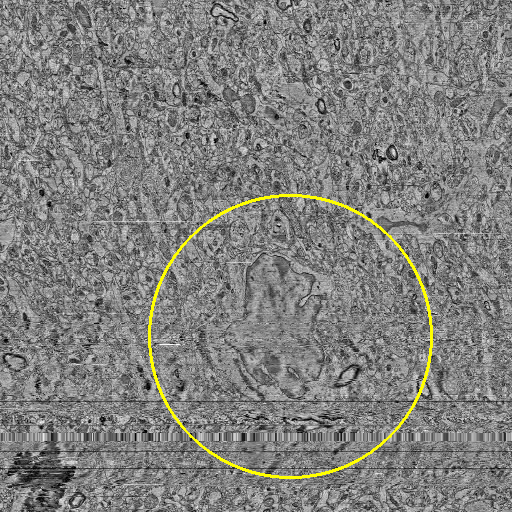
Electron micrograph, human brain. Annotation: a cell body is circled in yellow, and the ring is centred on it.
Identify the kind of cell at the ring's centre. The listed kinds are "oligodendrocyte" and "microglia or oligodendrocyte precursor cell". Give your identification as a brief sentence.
The circled cell body is that of a microglial cell or oligodendrocyte precursor cell.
